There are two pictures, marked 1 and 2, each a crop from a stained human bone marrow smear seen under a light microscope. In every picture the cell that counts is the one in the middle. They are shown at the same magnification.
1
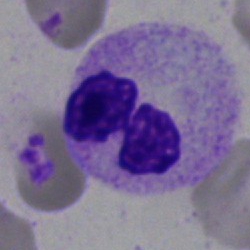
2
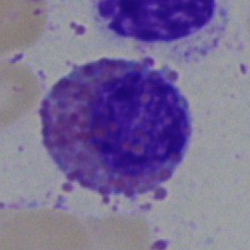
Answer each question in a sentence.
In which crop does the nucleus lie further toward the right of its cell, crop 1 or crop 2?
Seen within its cell, the nucleus in crop 2 lies further toward the right.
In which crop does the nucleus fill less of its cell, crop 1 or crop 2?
Of the two, the nucleus in crop 1 leaves more room for cytoplasm.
